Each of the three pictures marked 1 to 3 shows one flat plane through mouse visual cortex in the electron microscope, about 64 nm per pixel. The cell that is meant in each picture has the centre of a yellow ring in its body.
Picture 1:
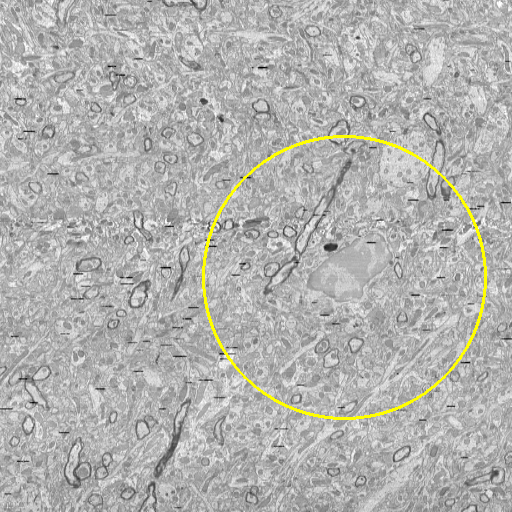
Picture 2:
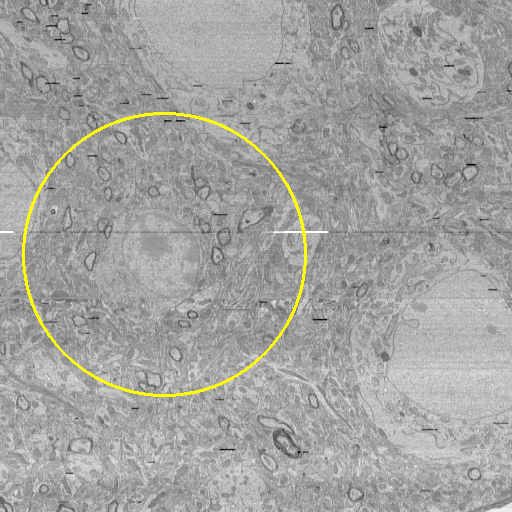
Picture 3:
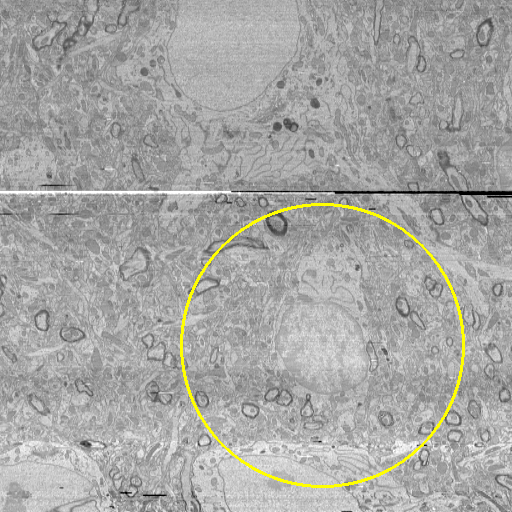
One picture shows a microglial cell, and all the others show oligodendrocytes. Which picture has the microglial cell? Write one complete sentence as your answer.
The microglial cell is the one in picture 1.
